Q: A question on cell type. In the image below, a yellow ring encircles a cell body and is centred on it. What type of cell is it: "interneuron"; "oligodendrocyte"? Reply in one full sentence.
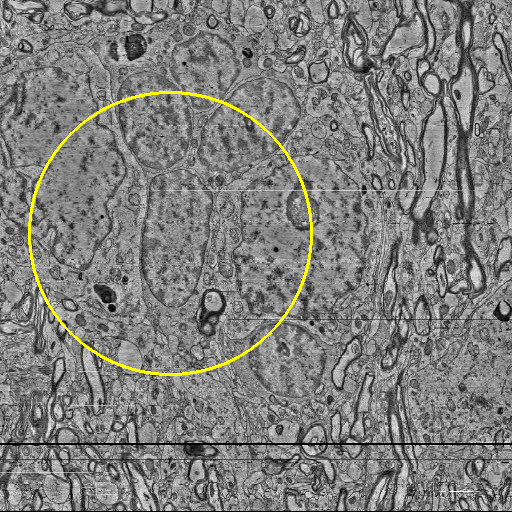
It is an oligodendrocyte whose cell body sits at the centre of the yellow ring in the image.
